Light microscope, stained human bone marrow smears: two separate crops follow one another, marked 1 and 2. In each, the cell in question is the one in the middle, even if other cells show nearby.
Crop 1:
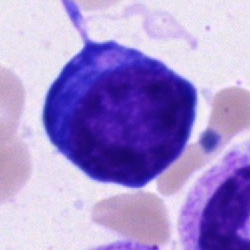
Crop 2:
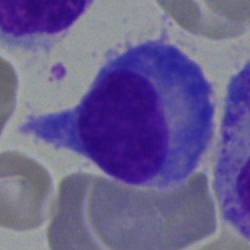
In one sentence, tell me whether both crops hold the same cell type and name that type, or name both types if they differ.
No, crop 1 is where a proerythroblast is, and crop 2 is where a plasma cell is.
